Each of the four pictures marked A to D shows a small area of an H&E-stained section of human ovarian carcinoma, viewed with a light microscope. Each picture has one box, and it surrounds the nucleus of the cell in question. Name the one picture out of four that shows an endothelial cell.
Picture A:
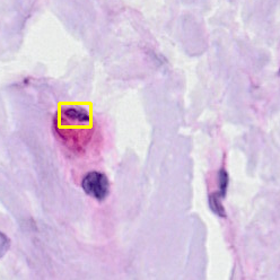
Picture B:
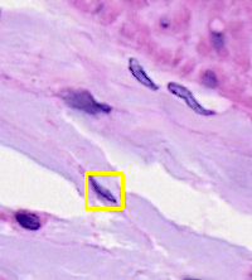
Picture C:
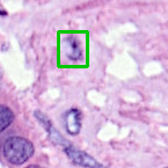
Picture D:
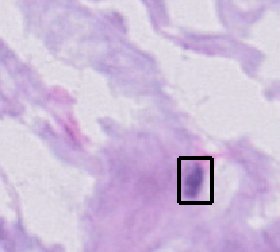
A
